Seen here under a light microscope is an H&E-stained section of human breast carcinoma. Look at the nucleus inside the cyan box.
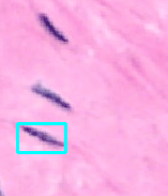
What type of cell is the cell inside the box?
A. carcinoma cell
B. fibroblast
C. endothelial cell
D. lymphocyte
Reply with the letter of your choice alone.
B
